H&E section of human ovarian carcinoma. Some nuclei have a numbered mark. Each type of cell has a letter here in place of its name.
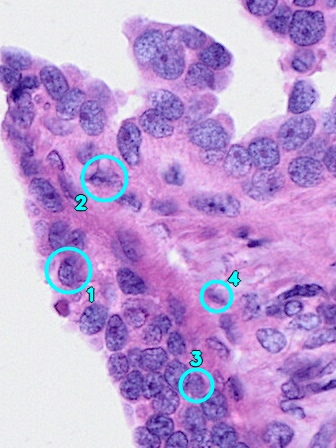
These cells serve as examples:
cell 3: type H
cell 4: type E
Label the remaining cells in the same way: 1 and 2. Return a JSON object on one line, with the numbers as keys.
{"1": "type H", "2": "type E"}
